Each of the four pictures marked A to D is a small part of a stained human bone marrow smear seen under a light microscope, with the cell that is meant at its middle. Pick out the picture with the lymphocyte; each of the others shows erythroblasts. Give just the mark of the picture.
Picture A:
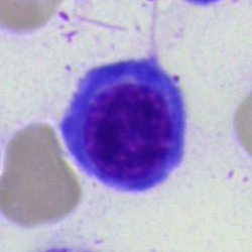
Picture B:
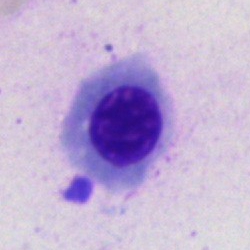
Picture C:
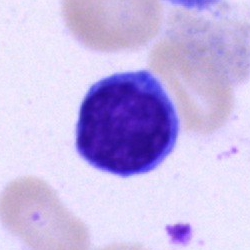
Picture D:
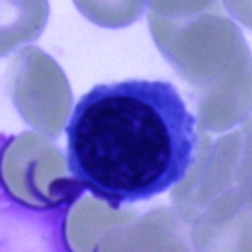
C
